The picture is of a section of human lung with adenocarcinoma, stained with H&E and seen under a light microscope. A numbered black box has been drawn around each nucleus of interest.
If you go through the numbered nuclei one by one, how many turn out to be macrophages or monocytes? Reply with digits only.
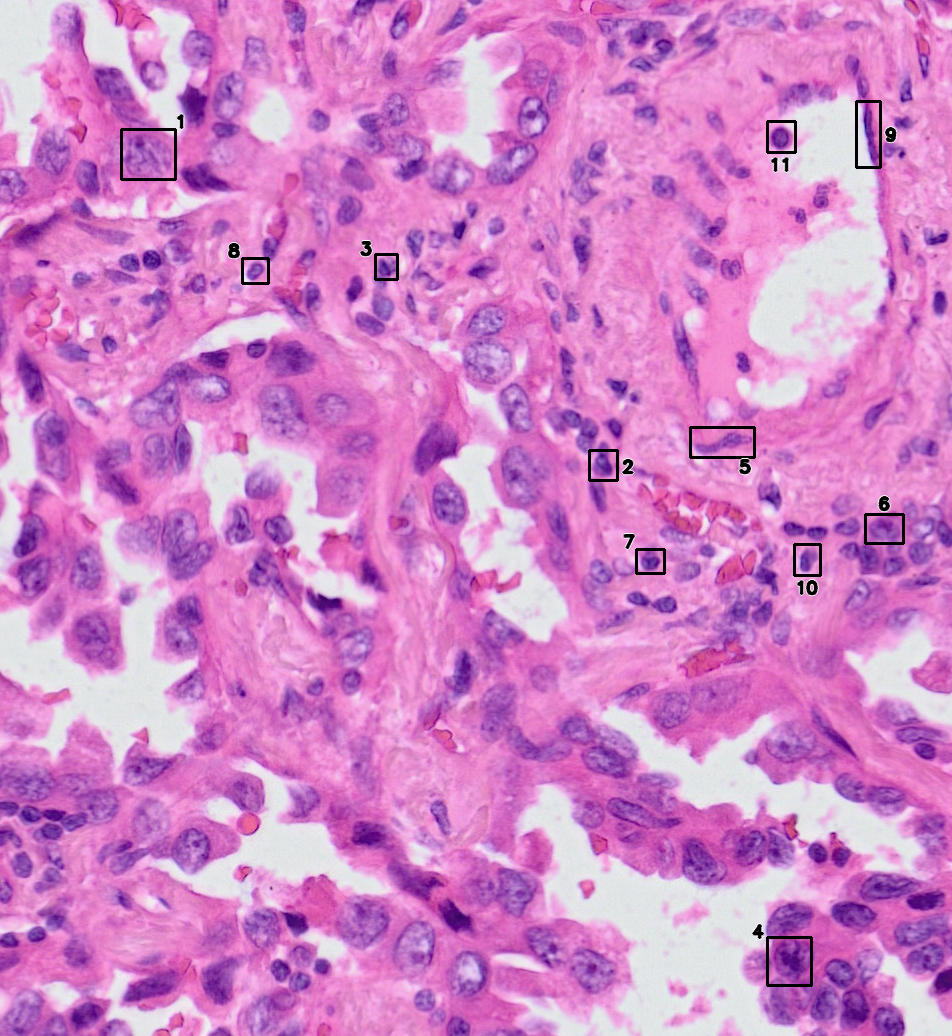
0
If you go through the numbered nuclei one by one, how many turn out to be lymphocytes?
6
